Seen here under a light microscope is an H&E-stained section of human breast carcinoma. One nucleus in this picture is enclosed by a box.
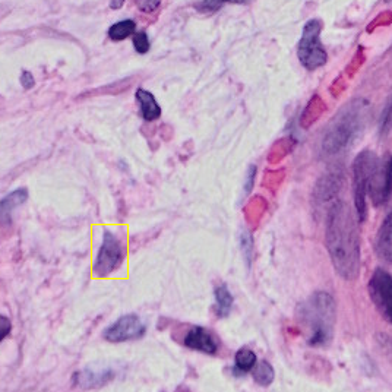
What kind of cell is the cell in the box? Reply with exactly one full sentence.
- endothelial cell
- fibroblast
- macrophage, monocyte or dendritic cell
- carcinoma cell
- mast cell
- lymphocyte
Histopathologically, the cell in the box is a macrophage, monocyte or dendritic cell.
